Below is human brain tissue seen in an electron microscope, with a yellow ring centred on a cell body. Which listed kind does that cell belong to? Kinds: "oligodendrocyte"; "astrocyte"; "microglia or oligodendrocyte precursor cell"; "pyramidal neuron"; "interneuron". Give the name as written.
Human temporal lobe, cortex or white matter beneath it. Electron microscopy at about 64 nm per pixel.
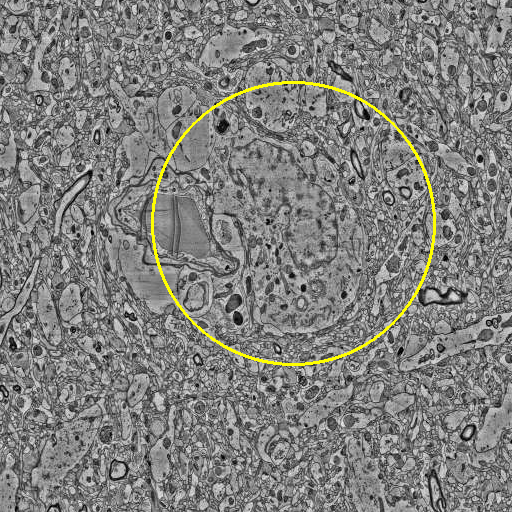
interneuron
